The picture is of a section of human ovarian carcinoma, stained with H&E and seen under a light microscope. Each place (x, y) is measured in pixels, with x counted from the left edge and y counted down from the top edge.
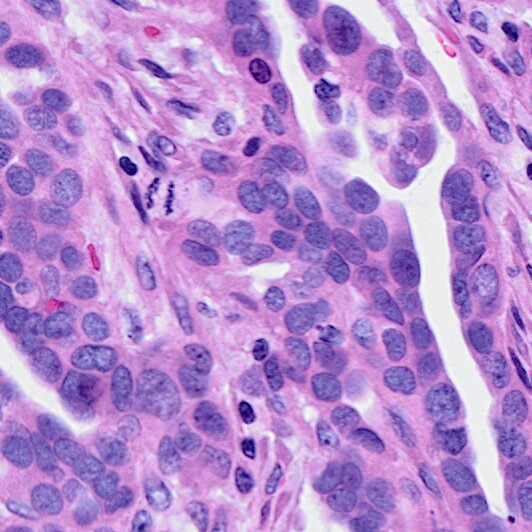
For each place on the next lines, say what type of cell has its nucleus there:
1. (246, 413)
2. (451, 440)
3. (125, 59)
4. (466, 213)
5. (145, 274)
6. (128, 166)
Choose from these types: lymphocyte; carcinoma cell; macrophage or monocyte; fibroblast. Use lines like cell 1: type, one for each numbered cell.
cell 1: lymphocyte
cell 2: carcinoma cell
cell 3: fibroblast
cell 4: carcinoma cell
cell 5: fibroblast
cell 6: lymphocyte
